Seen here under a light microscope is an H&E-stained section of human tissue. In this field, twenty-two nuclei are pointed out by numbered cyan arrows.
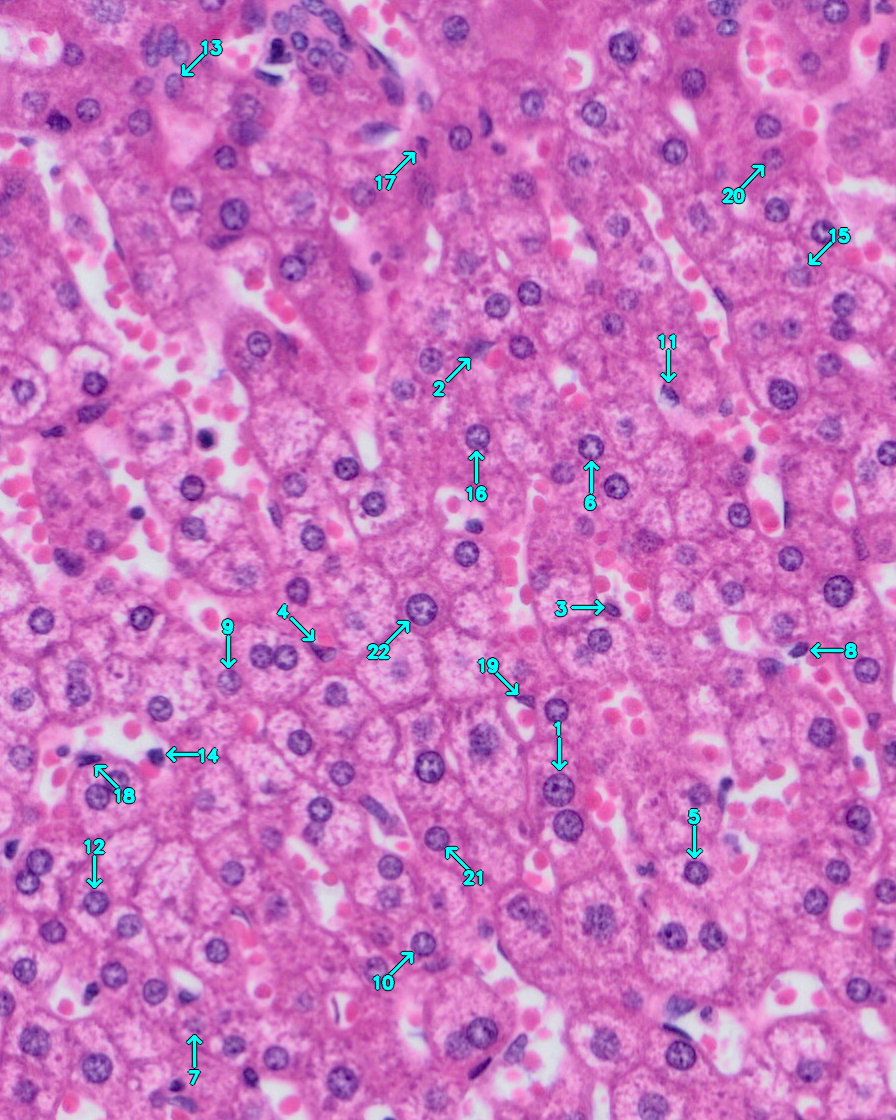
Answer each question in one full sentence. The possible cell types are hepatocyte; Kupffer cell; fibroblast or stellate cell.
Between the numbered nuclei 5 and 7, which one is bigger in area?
Nucleus 5 is larger, with an area about 1.5 times that of nucleus 7.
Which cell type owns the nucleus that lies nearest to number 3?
The nucleus nearest to number 3 is that of a hepatocyte.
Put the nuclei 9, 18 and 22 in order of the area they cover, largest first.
Largest first, the order by area is 22, 9, 18.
